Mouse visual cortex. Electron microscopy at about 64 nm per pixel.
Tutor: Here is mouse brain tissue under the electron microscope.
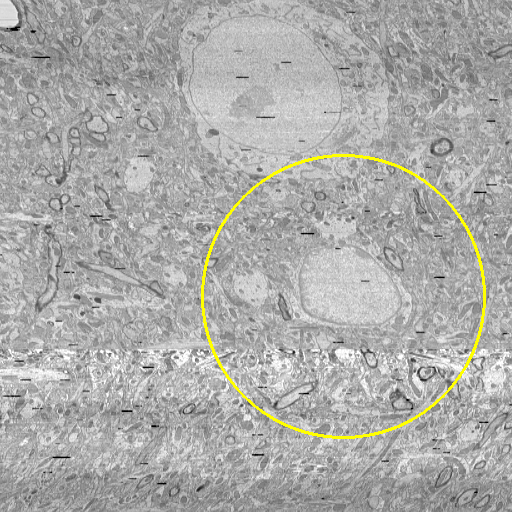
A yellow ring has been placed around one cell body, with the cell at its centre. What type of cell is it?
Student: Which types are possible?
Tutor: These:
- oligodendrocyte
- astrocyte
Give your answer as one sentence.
What the ring picks out here is an astrocyte.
